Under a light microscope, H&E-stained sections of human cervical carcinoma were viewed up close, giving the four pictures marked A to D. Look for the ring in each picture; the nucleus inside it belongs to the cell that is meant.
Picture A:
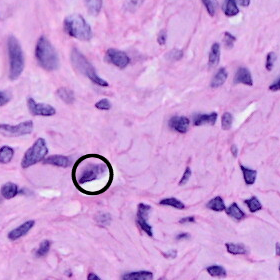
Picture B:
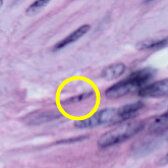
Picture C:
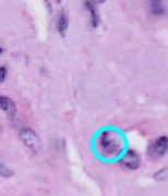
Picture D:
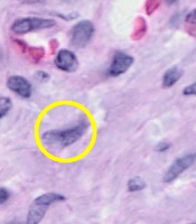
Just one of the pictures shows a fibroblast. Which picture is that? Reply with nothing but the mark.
D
